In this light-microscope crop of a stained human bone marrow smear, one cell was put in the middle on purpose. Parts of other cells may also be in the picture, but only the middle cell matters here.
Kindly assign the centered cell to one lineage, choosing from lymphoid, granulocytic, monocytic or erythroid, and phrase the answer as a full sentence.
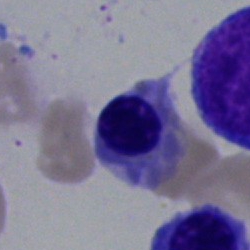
Here the cell at the center is of the erythroid lineage.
